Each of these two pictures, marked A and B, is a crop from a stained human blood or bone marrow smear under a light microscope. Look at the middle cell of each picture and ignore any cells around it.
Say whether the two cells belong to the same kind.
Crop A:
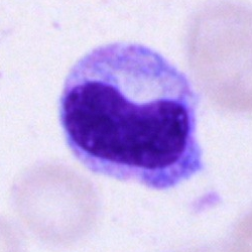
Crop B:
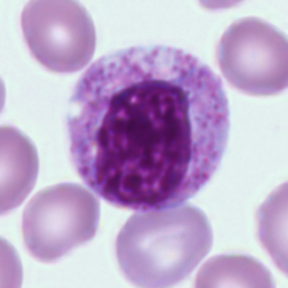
yes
